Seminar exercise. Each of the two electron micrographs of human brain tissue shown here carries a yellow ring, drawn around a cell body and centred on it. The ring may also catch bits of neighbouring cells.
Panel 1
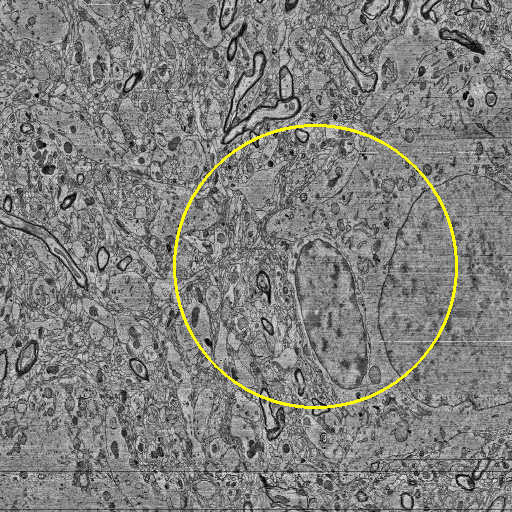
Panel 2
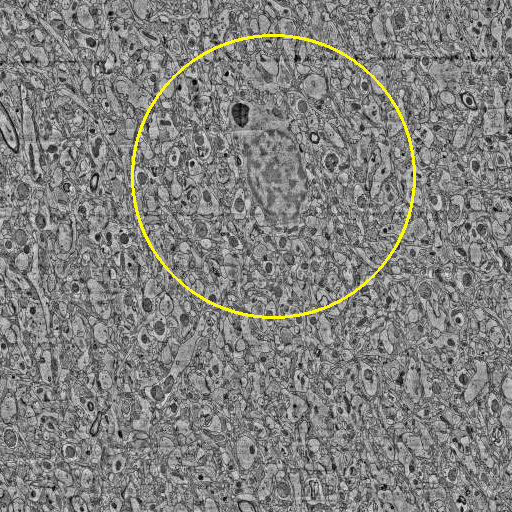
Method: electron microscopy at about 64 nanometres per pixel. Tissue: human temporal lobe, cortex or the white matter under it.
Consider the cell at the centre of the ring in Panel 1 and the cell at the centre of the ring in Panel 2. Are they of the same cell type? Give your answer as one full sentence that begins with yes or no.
No, the two cells are of two types.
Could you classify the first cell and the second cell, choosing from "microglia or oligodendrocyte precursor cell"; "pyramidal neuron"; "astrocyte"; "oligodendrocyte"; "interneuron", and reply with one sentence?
The second cell is an oligodendrocyte, while the first is a microglial cell or oligodendrocyte precursor cell.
